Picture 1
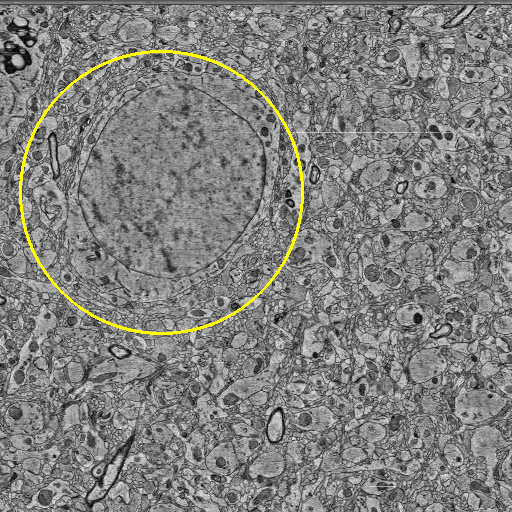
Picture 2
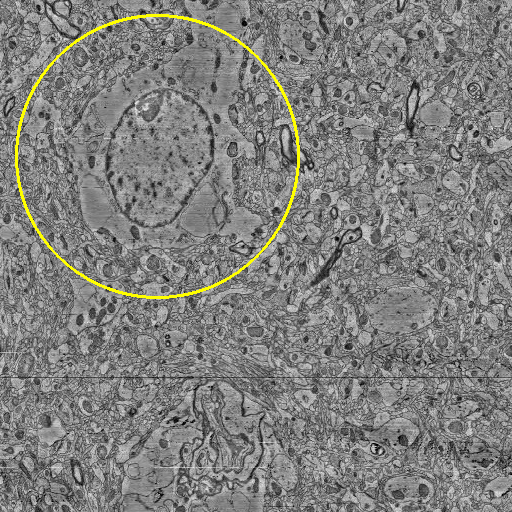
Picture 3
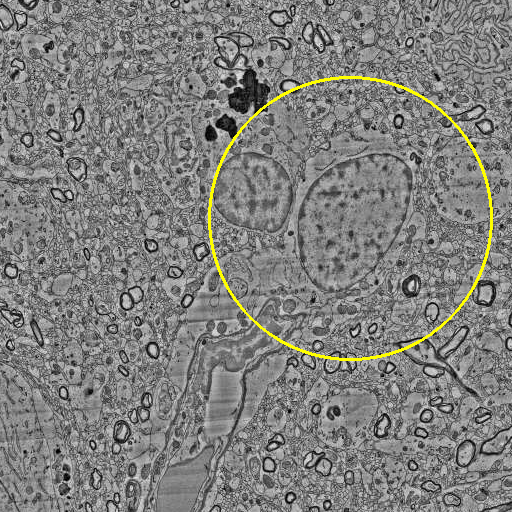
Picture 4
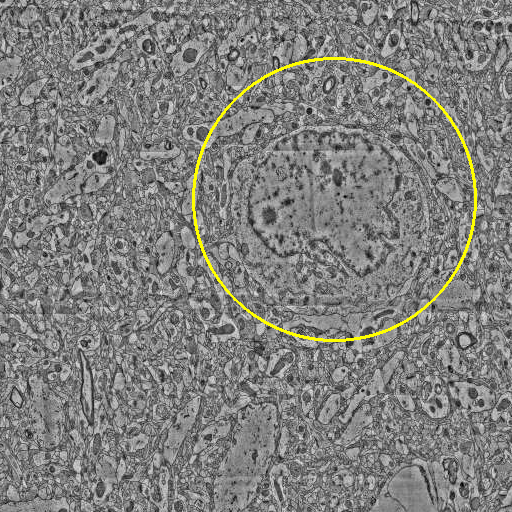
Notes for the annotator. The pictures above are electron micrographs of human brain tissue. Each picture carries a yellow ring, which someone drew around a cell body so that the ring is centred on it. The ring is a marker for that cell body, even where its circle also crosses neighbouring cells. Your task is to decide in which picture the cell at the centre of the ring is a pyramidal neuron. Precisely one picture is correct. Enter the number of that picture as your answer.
1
